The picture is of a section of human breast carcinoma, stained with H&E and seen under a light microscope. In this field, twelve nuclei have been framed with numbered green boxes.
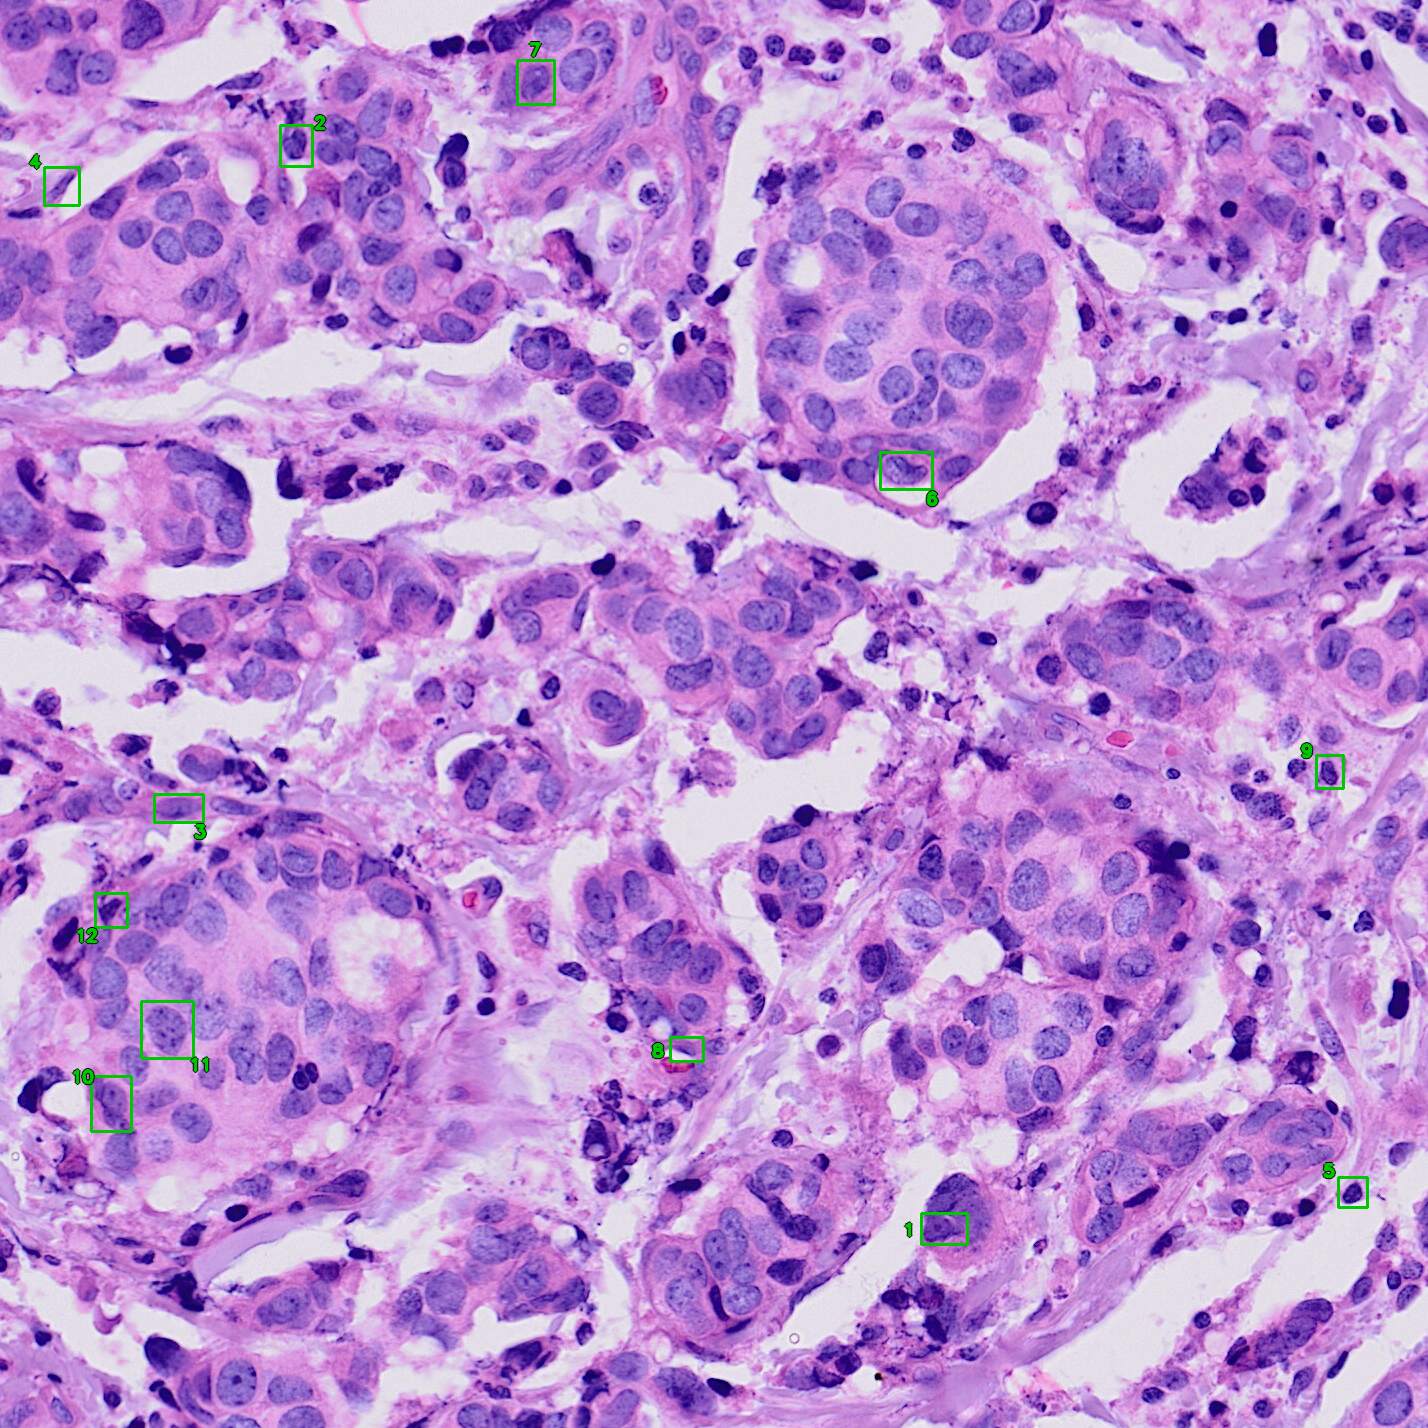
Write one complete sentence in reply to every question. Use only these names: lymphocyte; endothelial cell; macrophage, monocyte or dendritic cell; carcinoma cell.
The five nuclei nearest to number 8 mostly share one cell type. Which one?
Around number 8, most of the five nearest nuclei are those of endothelial cells.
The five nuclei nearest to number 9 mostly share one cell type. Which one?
Macrophages, monocytes or dendritic cells account for more than half of the five nuclei nearest to number 9.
